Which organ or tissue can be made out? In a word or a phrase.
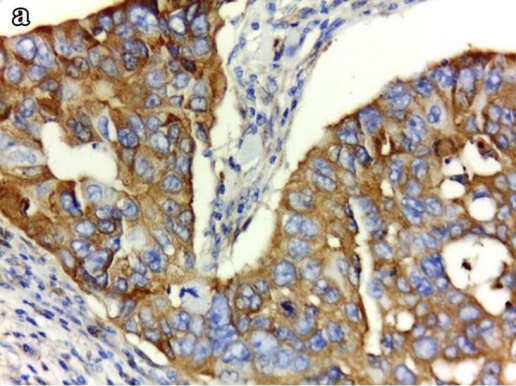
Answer: Carcinoma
